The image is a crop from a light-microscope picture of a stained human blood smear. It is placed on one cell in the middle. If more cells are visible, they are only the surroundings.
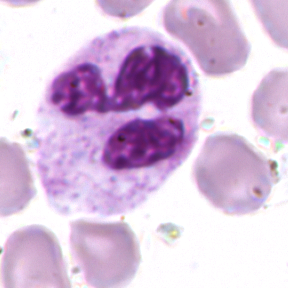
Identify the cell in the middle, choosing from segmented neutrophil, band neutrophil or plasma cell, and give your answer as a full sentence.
As for the cell in the middle, it is a segmented neutrophil.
